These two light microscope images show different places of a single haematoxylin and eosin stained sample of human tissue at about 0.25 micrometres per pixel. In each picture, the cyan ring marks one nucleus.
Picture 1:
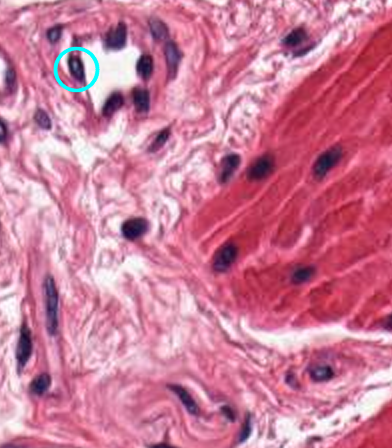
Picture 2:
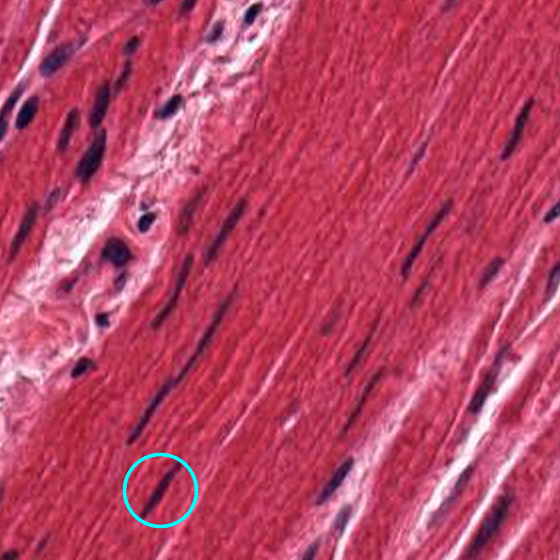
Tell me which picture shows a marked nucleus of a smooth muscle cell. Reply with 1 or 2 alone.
2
